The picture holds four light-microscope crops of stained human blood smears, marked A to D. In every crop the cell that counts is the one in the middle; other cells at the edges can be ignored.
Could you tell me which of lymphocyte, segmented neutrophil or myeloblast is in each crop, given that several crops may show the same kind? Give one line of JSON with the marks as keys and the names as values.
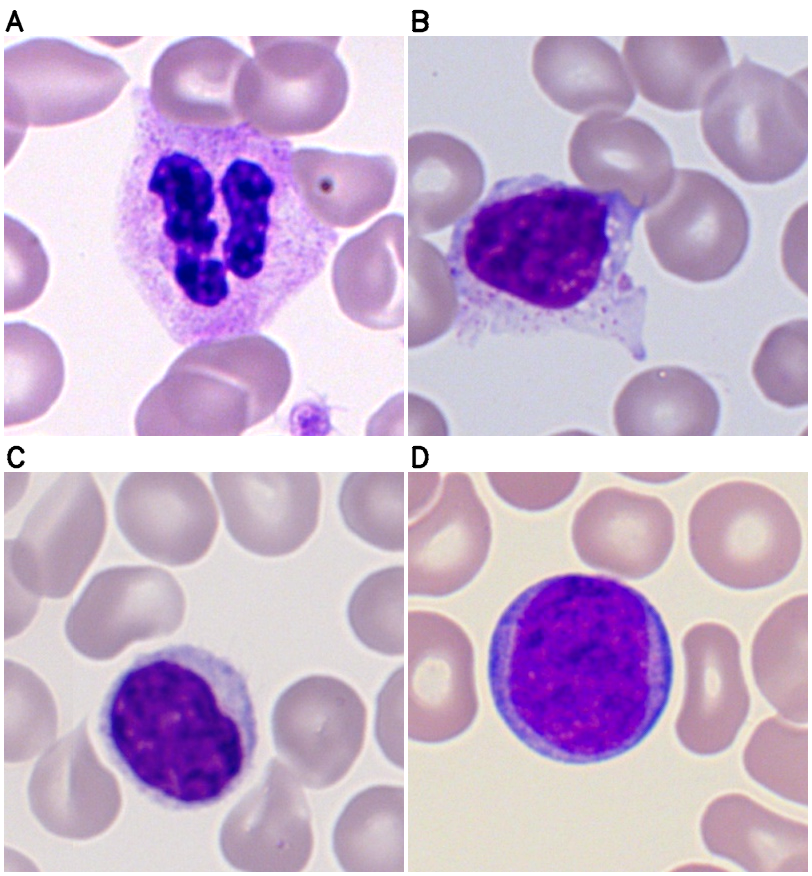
{"A": "segmented neutrophil", "B": "lymphocyte", "C": "lymphocyte", "D": "myeloblast"}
